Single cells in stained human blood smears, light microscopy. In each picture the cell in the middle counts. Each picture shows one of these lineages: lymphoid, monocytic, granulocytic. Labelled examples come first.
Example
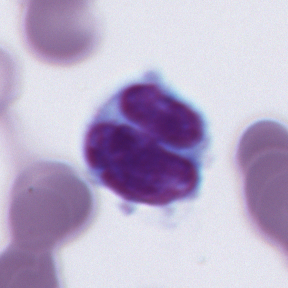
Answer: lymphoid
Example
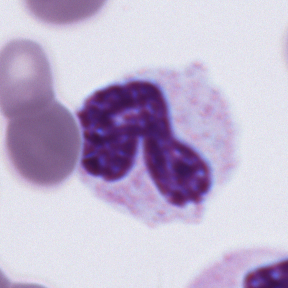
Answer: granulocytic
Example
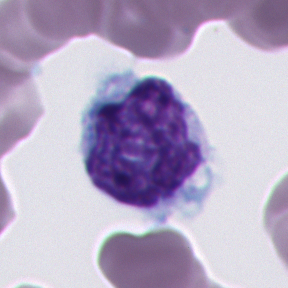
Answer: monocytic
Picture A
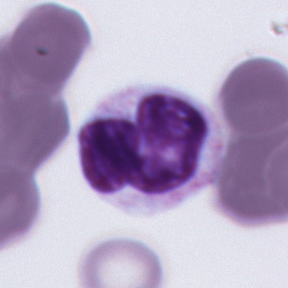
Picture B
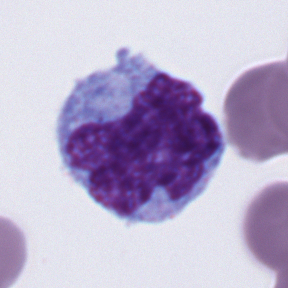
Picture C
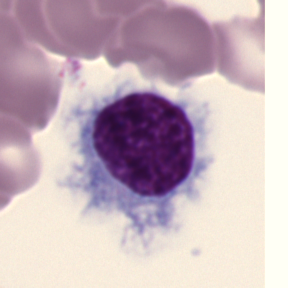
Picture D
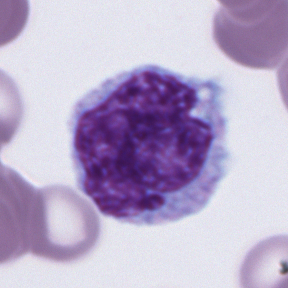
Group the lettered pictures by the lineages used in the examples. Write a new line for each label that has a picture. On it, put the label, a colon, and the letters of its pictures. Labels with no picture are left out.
lymphoid: C
monocytic: B, D
granulocytic: A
